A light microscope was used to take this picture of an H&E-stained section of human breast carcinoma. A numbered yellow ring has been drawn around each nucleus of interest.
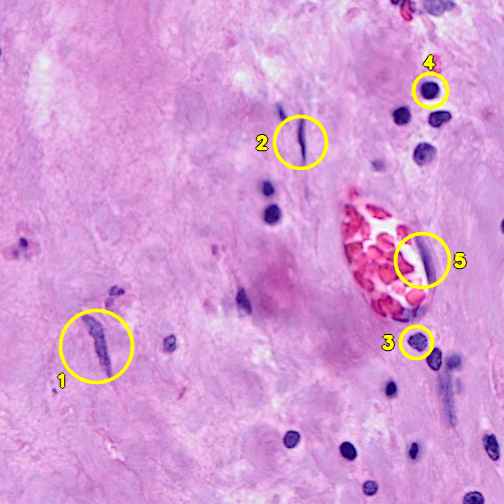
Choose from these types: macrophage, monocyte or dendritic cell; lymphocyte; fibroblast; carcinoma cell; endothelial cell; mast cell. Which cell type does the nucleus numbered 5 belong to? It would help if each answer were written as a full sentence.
Number 5 among the marked cells is an endothelial cell.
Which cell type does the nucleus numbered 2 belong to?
The cell marked with number 2 is a fibroblast.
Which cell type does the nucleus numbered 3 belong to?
The marked nucleus 3 is that of a lymphocyte.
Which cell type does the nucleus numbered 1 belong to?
The cell whose nucleus carries the number 1 is a fibroblast.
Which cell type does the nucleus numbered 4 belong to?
Recognised here as a lymphocyte is the cell numbered 4.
